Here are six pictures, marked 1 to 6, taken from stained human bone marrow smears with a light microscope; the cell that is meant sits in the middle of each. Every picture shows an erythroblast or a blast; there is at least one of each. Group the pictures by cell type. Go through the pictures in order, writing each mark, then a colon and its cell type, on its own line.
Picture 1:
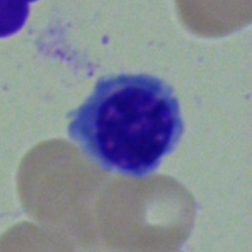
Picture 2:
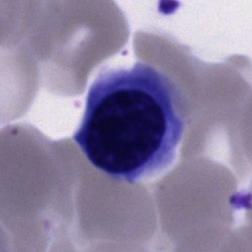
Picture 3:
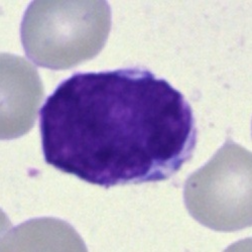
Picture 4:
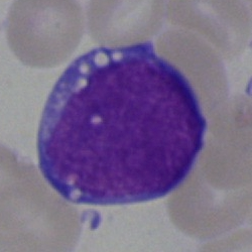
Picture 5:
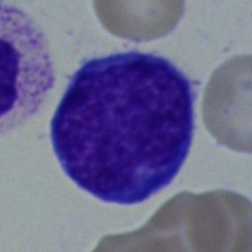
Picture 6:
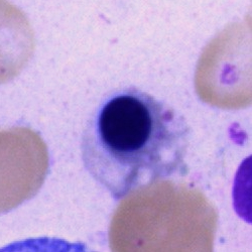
1: erythroblast
2: erythroblast
3: blast
4: blast
5: blast
6: erythroblast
